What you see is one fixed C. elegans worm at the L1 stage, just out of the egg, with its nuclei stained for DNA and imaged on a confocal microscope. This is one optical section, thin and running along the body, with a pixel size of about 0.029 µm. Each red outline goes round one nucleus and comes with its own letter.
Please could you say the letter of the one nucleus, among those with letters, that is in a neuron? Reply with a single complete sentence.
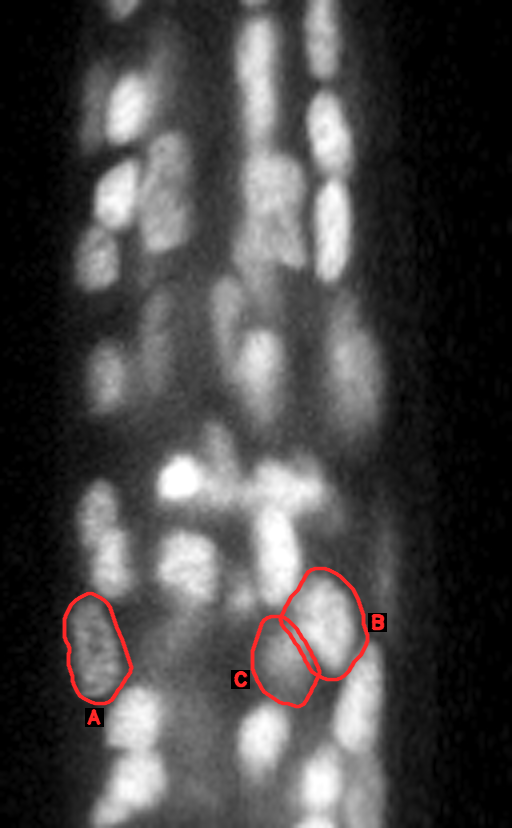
The nucleus of a neuron is C.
